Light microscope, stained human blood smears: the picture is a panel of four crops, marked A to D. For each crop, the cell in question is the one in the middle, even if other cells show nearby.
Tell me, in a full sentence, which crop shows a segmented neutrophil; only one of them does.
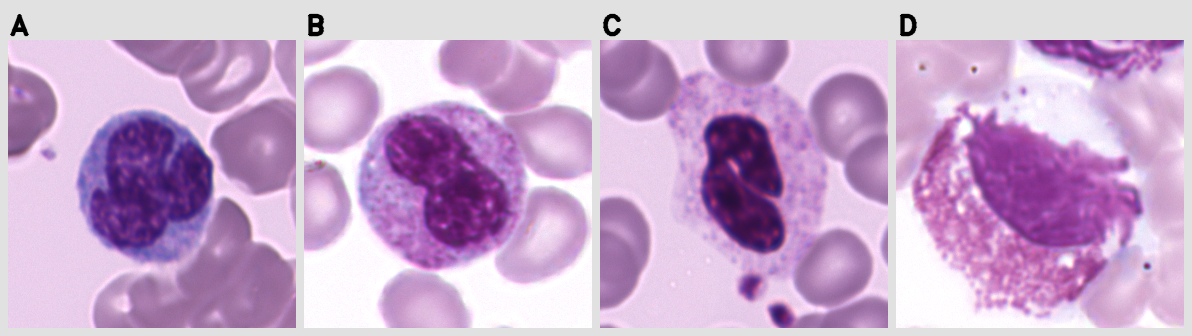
The one showing a segmented neutrophil is the crop labelled C.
